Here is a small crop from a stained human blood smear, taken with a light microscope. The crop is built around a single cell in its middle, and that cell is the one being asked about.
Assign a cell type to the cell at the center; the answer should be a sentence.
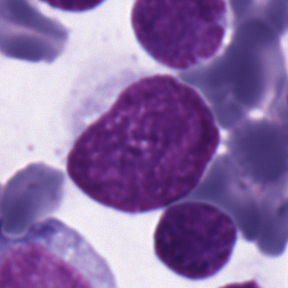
The cell featured at the centre of this crop is a blast.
